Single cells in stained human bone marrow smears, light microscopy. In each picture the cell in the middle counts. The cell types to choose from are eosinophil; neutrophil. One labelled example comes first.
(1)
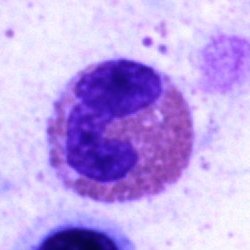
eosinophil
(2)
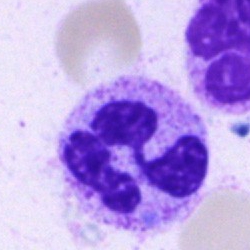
neutrophil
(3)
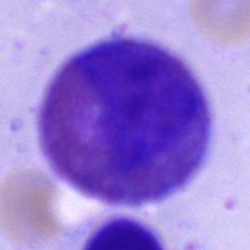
eosinophil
